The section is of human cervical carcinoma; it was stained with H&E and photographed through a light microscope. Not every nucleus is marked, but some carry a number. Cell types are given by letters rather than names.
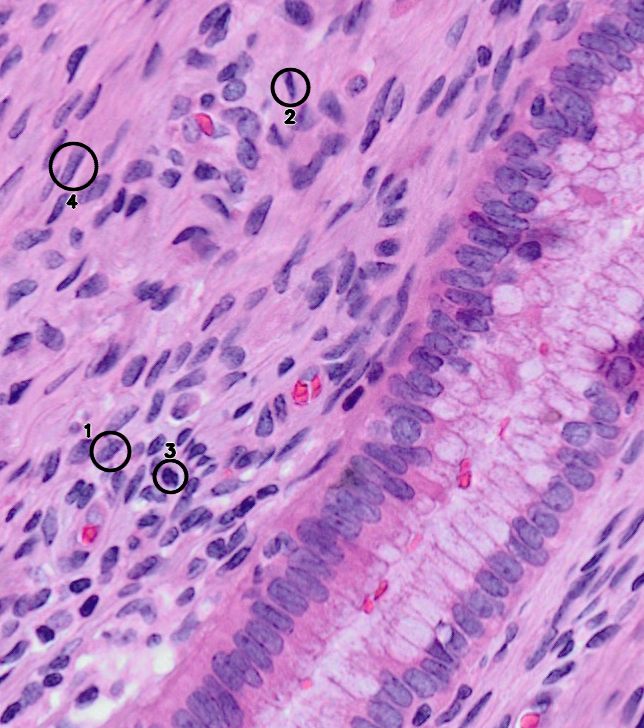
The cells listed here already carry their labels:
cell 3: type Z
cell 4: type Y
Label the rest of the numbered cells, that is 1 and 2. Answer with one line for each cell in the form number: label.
1: type Y
2: type Y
